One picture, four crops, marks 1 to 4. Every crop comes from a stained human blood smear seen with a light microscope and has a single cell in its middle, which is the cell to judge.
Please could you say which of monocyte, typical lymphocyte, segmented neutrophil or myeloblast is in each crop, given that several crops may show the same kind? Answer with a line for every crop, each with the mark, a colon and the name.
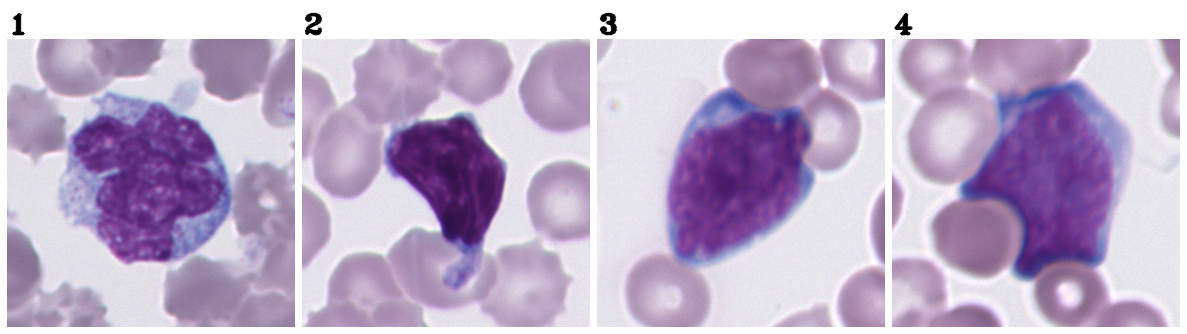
1: monocyte
2: typical lymphocyte
3: myeloblast
4: myeloblast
